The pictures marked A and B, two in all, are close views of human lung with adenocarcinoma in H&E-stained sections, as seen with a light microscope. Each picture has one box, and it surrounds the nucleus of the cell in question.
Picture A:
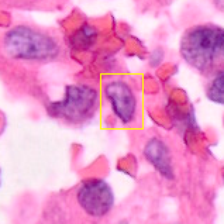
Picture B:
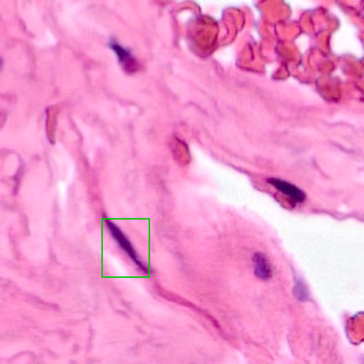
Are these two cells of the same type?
no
